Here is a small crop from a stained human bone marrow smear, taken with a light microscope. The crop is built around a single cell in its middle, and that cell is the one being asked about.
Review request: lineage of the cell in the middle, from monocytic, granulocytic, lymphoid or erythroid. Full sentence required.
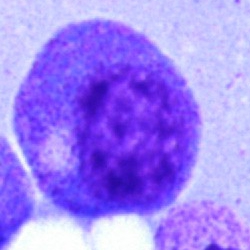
The cell at the crop's center sits within the granulocytic lineage.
